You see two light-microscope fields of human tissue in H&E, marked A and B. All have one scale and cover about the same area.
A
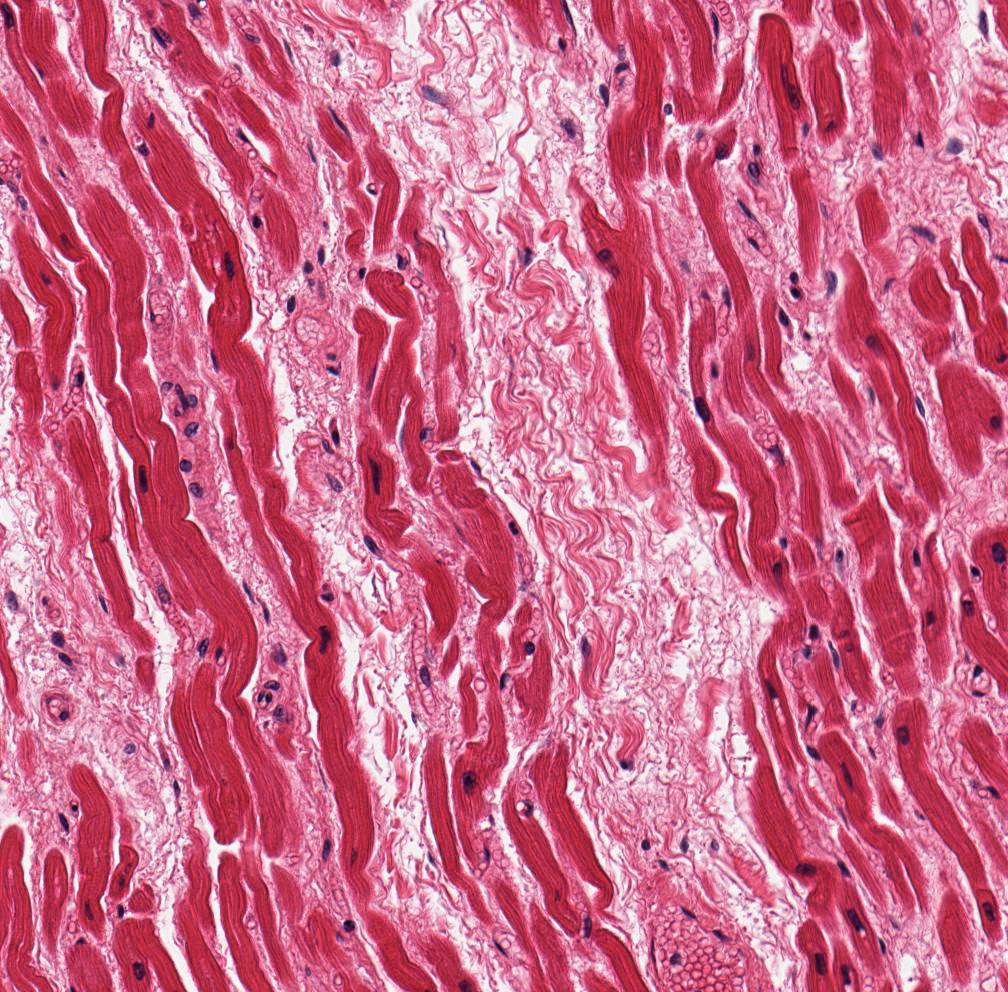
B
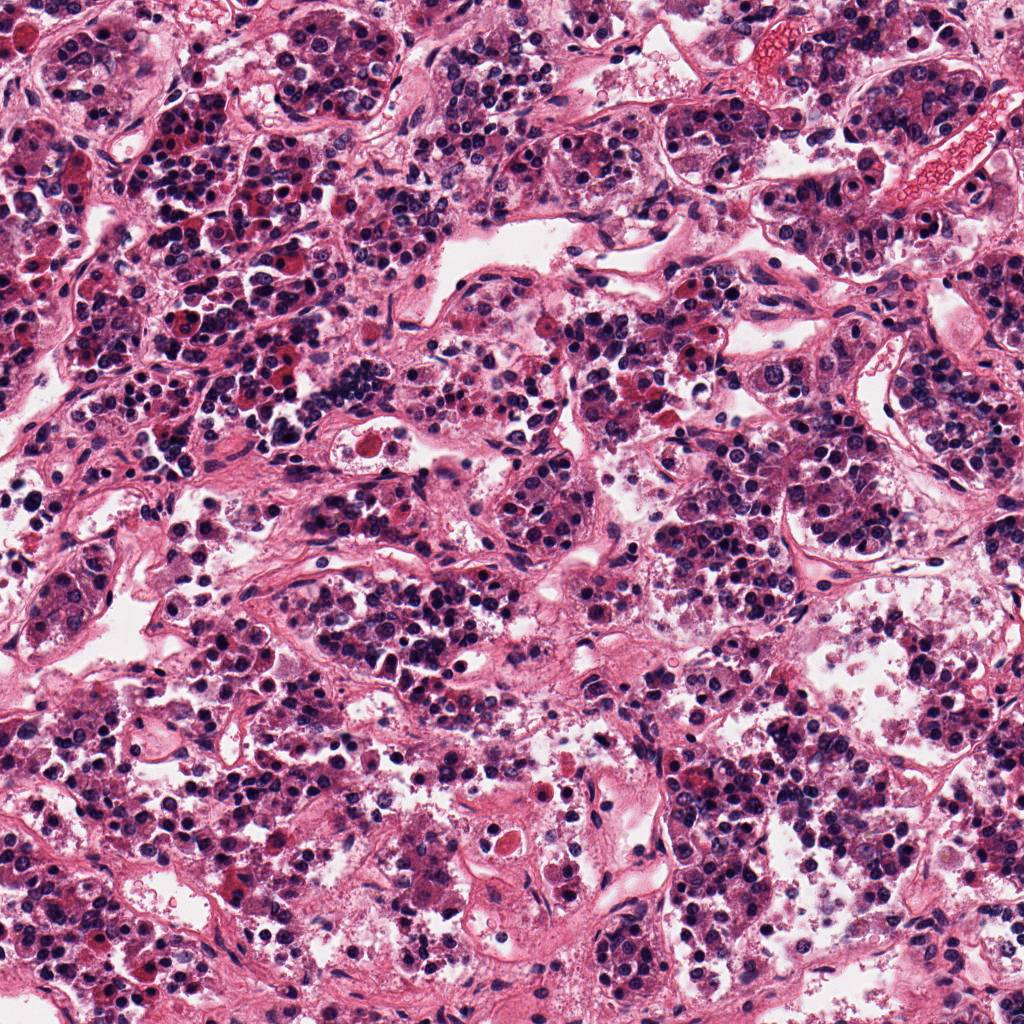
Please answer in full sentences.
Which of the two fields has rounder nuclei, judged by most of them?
On the whole the nuclei of field B are rounder than those of field A.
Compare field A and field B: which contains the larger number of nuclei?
More nuclei lie in field B than in field A.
